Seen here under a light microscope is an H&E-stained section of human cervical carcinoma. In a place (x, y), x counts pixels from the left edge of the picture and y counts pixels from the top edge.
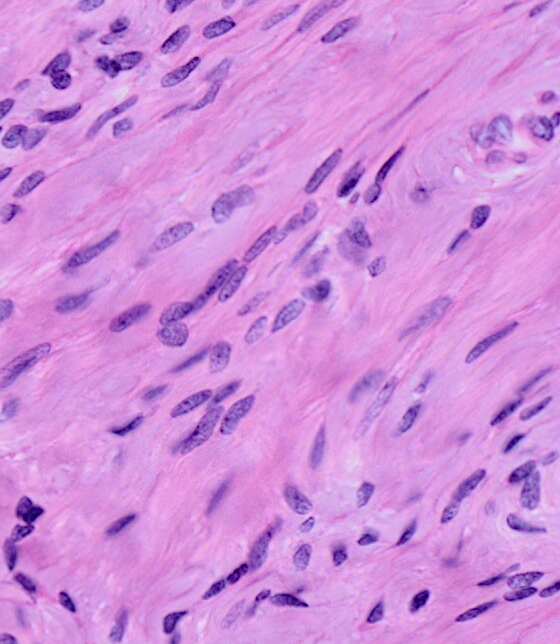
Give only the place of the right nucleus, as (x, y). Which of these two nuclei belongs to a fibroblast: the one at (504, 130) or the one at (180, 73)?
(180, 73)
